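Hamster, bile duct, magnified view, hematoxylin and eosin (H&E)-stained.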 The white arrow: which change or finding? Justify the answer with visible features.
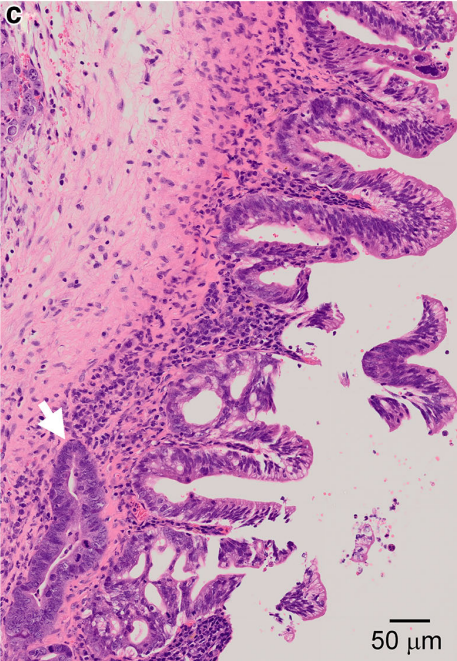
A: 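The arrowed gland is lined by cells with crowded, enlarged nuclei. Nuclei in the arrowed gland are stacked at different heights rather than in one row at the base.
Hence: loss of polarity and heterogeneously enlarged nuclei.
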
